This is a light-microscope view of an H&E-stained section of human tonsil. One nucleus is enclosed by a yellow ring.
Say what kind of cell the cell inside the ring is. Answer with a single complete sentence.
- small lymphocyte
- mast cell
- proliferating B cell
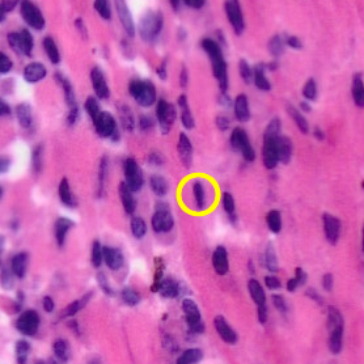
The classification of the cell inside the ring is as a mast cell.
